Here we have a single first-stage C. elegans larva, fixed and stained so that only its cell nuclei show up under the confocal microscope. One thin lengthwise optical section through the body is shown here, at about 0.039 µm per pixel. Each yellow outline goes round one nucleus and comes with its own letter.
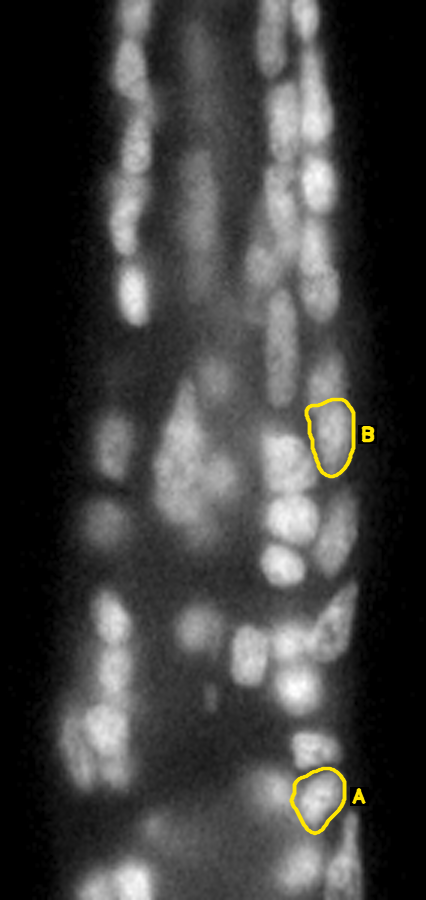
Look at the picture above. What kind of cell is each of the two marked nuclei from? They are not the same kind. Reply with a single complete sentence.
A is the nucleus of a neuron; B is the nucleus of a hypodermal cell (hyp).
